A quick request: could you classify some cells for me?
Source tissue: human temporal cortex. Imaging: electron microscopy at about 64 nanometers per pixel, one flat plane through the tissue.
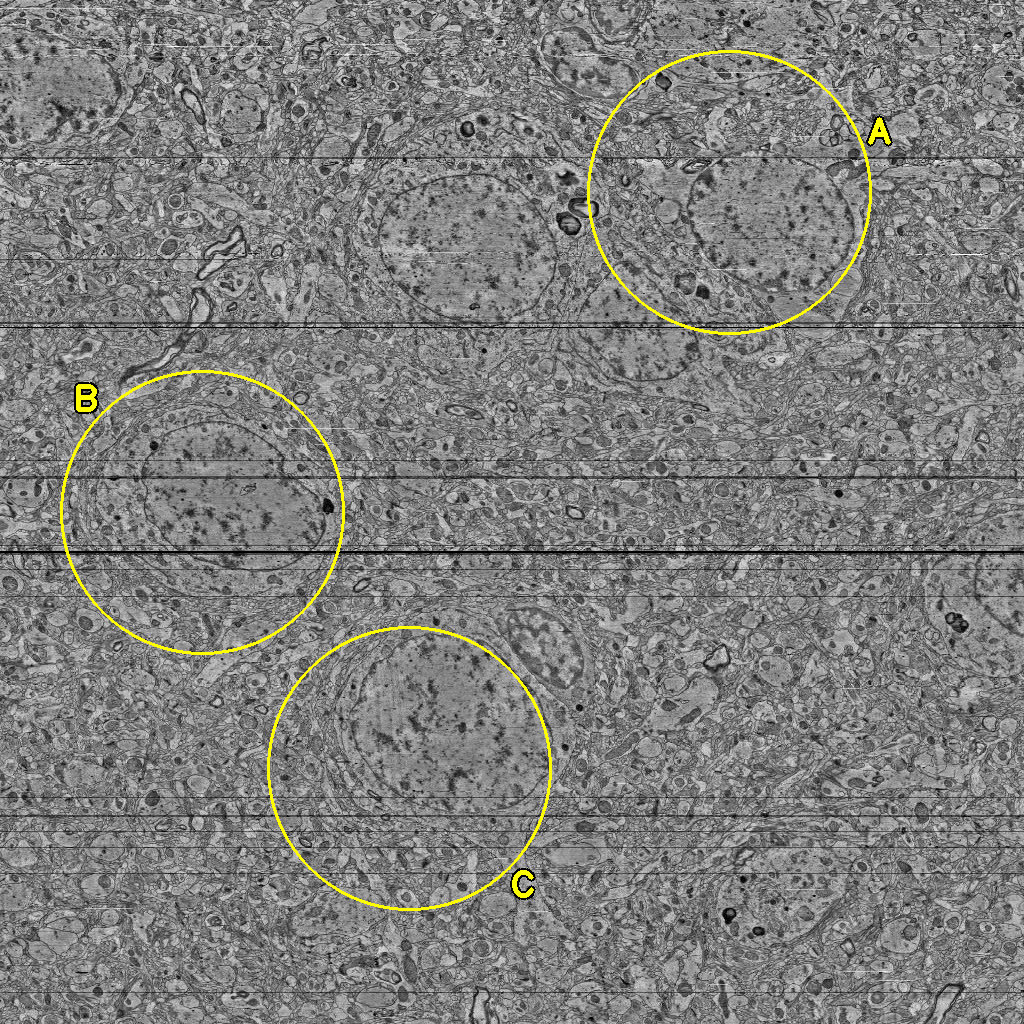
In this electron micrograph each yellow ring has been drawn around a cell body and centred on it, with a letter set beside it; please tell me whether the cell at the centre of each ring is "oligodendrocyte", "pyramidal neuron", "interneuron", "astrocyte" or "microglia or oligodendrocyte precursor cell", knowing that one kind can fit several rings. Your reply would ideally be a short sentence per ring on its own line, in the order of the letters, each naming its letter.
Ring A has an astrocyte at its centre.
Ring B has a pyramidal neuron at its centre.
Ring C has a pyramidal neuron at its centre.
